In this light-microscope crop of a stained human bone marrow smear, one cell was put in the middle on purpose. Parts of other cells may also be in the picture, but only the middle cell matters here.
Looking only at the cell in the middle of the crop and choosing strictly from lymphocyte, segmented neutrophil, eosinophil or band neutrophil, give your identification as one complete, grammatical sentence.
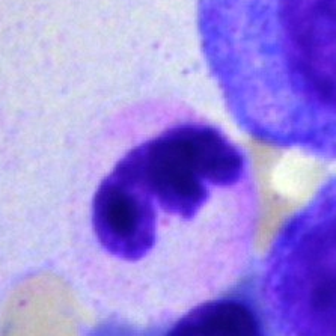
The cell in the middle of the field of view is a segmented neutrophil.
